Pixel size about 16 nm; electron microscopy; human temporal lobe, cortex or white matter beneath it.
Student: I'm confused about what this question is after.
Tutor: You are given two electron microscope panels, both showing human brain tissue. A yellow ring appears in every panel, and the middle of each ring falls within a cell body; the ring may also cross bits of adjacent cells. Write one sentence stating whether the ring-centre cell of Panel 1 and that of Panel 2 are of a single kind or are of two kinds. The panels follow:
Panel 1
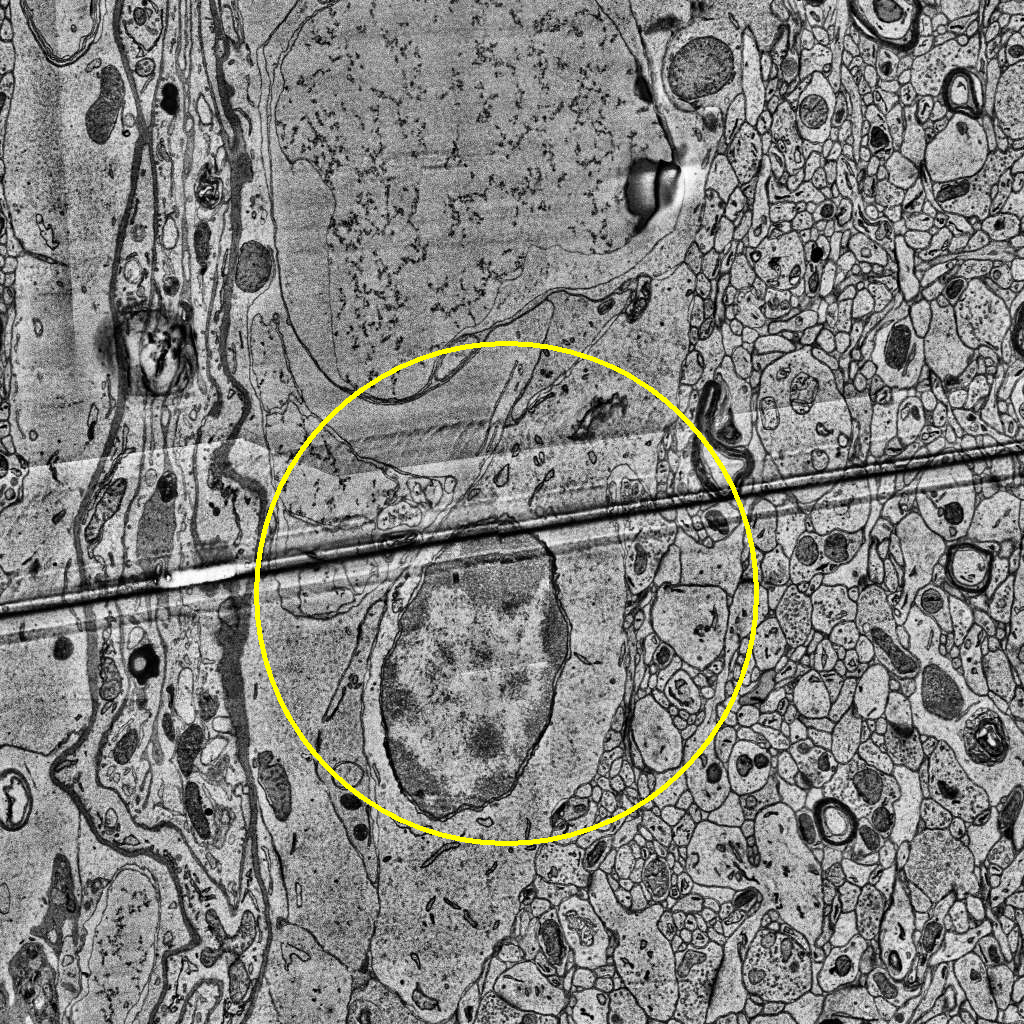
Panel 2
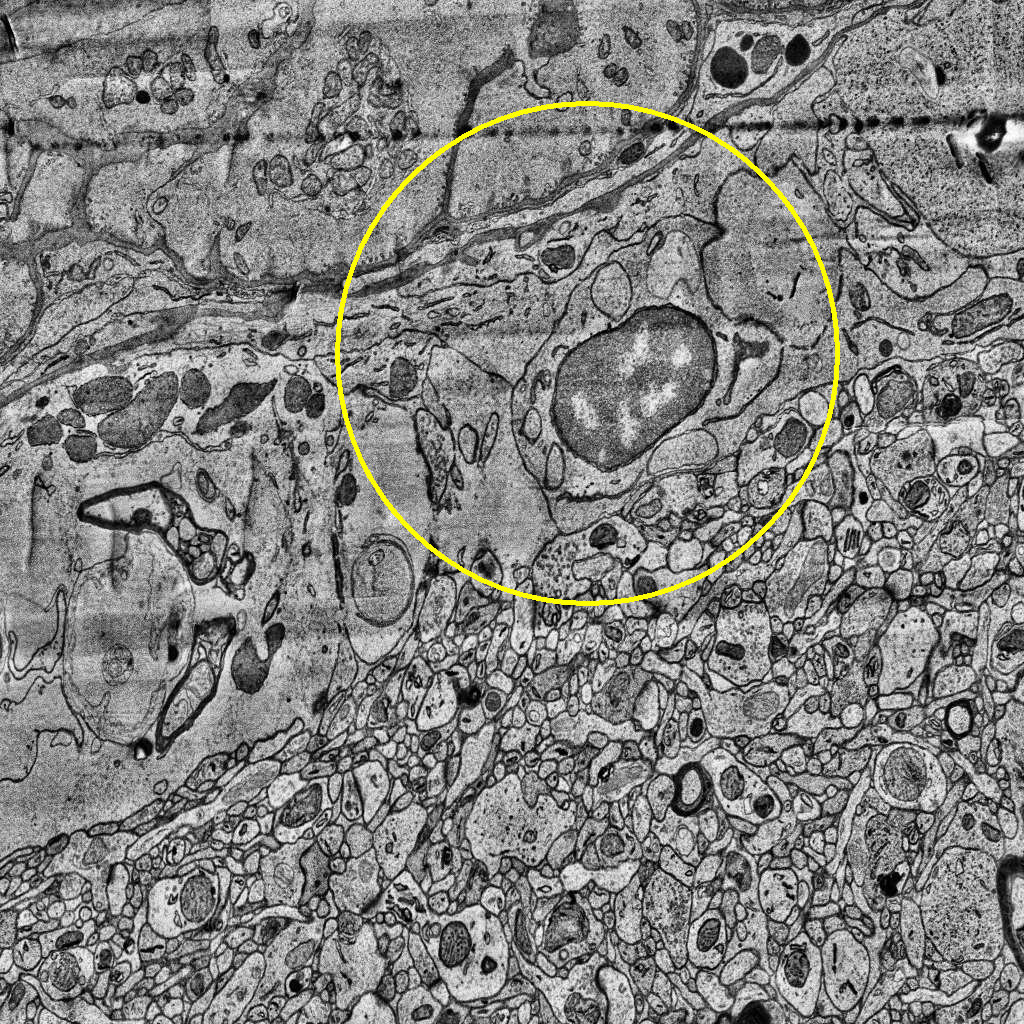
Here, the Panel 1 ring-centre cell and the Panel 2 ring-centre cell are of a single kind.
